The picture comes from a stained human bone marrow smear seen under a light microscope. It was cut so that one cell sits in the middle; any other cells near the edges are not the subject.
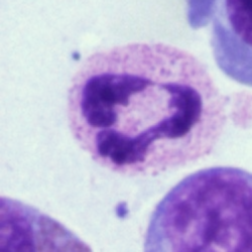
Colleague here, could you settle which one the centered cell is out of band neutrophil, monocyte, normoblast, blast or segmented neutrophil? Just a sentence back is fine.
Here the centrally located cell is a segmented neutrophil.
